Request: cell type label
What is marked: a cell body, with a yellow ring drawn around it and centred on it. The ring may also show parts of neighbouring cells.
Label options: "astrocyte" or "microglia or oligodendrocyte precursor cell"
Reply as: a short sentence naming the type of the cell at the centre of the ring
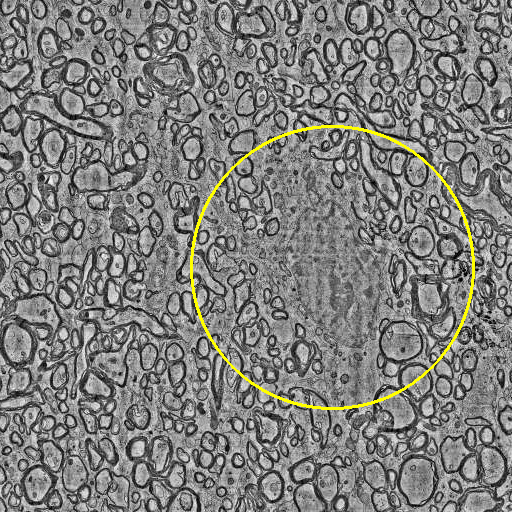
The marked cell body is that of an astrocyte.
